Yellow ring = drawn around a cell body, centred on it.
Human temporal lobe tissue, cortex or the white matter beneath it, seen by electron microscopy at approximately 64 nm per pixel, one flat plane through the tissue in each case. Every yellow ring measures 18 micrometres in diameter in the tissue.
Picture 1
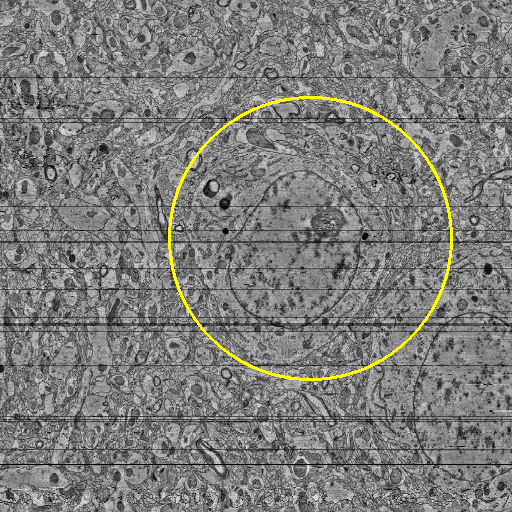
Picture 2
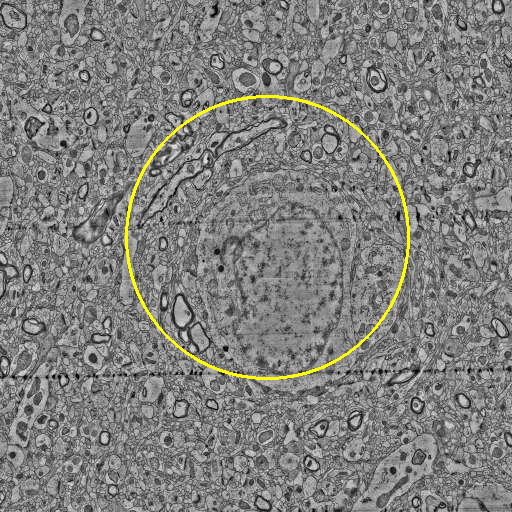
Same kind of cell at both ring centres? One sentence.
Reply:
No, they are two kinds of cell.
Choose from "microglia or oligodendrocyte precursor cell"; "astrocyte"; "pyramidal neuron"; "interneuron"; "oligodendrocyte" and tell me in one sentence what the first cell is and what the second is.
What the first ring is centred on is a pyramidal neuron; what the second ring is centred on is an interneuron.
